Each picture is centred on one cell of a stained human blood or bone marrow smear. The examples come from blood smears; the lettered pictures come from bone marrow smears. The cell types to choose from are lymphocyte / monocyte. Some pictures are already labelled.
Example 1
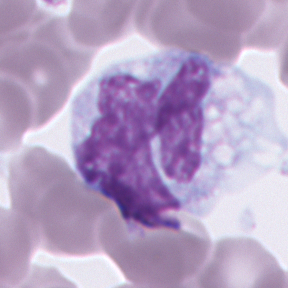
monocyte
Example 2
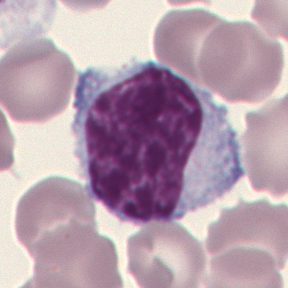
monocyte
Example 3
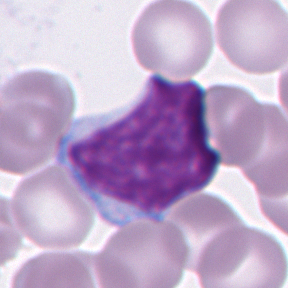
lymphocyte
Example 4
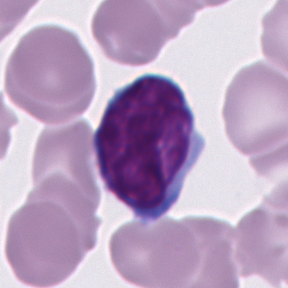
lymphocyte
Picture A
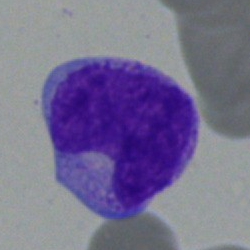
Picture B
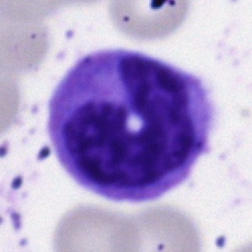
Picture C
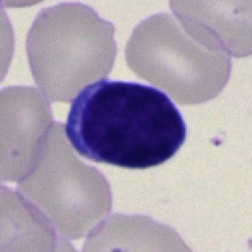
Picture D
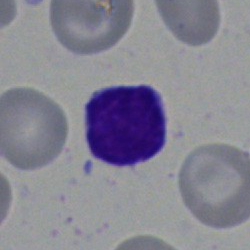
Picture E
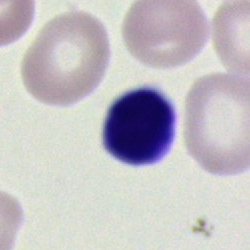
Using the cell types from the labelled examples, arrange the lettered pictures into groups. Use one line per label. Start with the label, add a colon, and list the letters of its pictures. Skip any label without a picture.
lymphocyte: C, D, E
monocyte: A, B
